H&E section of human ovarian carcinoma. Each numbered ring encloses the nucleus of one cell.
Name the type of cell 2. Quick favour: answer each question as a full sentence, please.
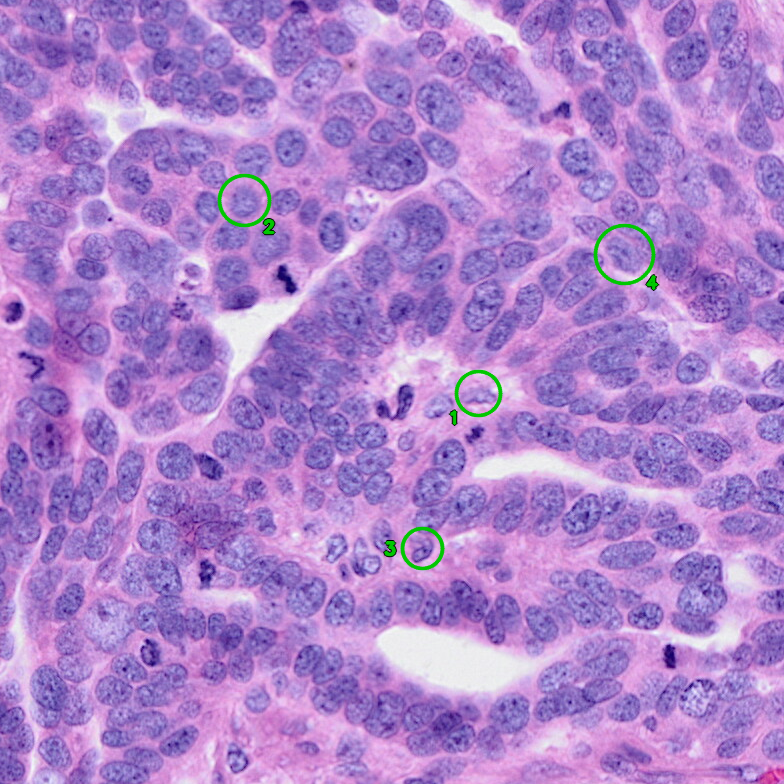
The numeral 2 marks a carcinoma cell in this section.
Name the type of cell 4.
Cell 4 of the marked set is a carcinoma cell.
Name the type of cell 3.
The mark numbered 3 indicates the nucleus of a macrophage or monocyte.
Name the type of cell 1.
Of the numbered cells, the one labelled 1 is a fibroblast.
